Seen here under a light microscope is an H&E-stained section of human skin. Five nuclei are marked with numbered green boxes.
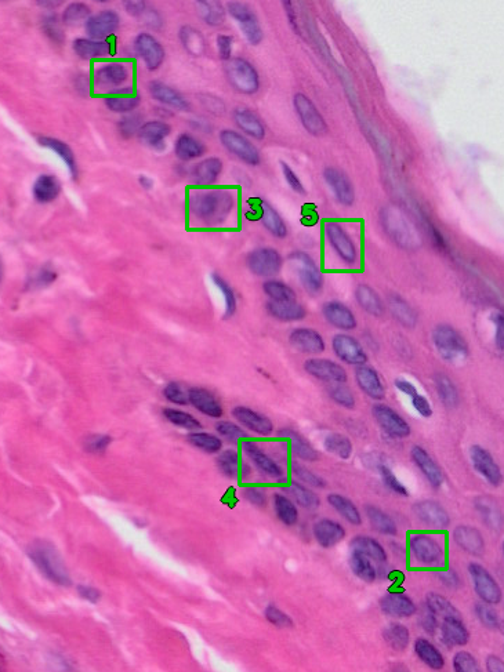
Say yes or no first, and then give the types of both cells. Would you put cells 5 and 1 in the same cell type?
No, cell 5 is a suprabasal keratinocyte and cell 1 is a basal keratinocyte.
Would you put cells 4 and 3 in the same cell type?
Yes, both are basal keratinocytes.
